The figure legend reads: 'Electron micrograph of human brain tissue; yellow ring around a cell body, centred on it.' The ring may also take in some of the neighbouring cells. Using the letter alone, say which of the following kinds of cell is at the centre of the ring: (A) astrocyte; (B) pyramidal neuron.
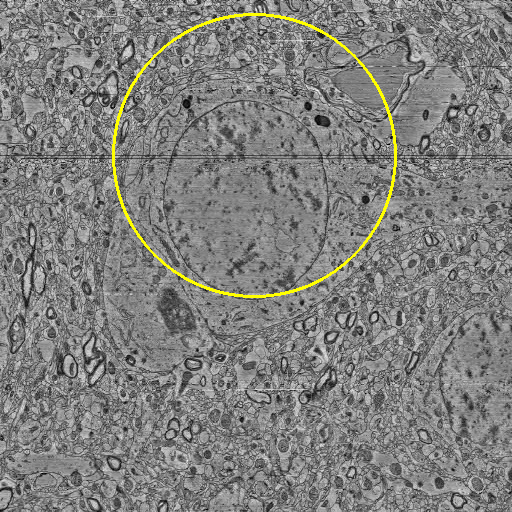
B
